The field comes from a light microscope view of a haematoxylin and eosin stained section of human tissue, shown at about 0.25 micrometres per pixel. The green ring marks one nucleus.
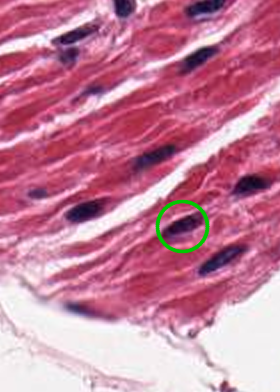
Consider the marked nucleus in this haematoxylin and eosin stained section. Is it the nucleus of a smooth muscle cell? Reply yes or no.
yes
